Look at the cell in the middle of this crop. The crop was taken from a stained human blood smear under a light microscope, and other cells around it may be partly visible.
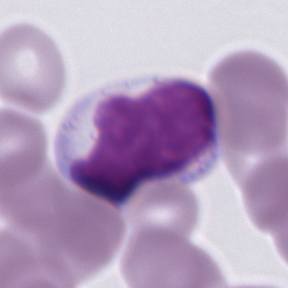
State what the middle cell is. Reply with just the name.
large granular lymphocyte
